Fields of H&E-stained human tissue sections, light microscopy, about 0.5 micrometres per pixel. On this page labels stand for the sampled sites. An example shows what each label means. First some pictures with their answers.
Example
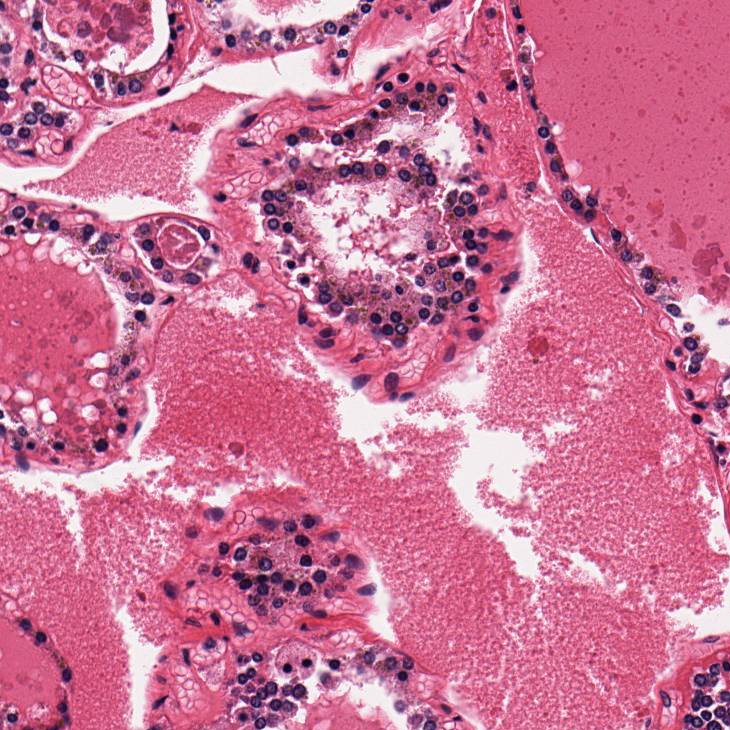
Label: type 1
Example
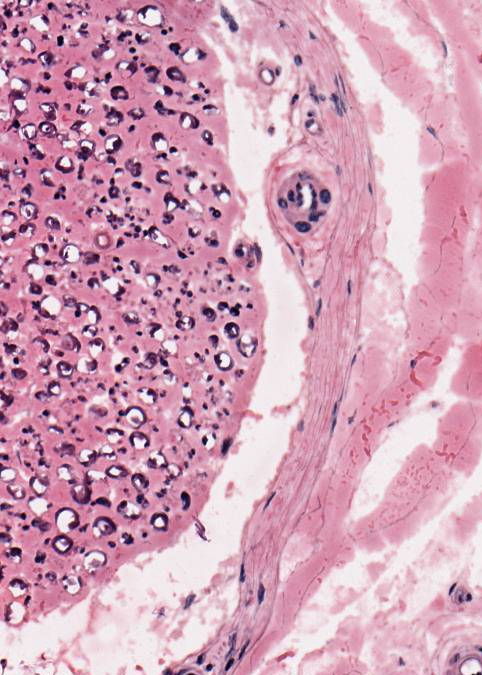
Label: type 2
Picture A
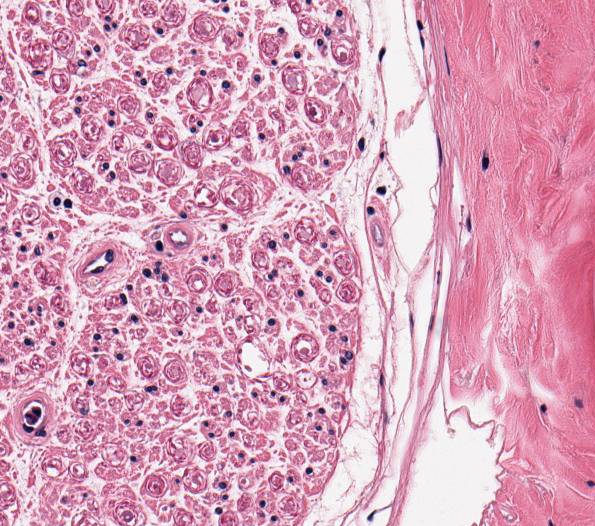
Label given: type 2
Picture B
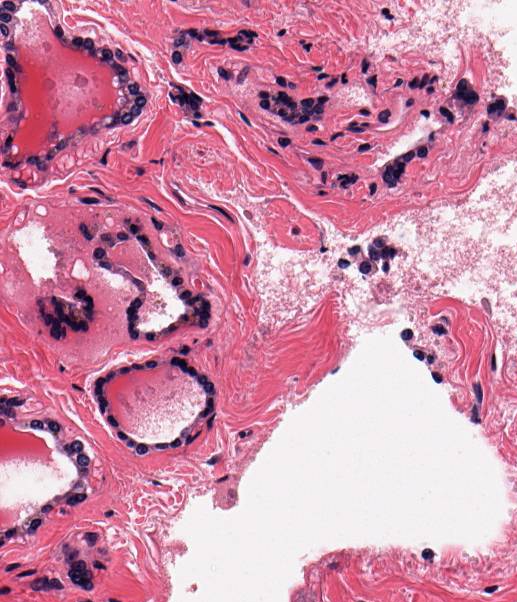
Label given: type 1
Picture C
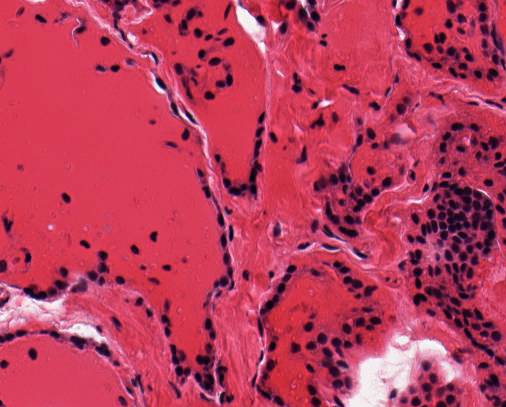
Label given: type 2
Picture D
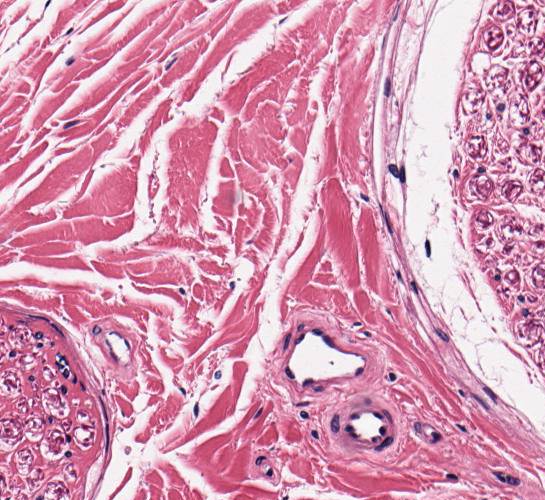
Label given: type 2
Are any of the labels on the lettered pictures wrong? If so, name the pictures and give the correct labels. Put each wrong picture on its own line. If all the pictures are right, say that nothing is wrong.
C: type 1, not type 2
